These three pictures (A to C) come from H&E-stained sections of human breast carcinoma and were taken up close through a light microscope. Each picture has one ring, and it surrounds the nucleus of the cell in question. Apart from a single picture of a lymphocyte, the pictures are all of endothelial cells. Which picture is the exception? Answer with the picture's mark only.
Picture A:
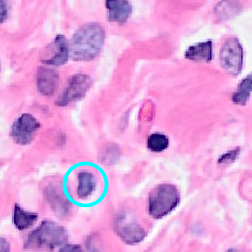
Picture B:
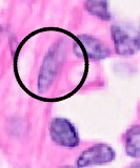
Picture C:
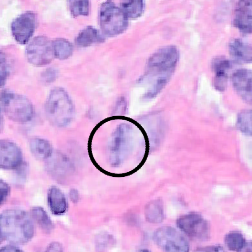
A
